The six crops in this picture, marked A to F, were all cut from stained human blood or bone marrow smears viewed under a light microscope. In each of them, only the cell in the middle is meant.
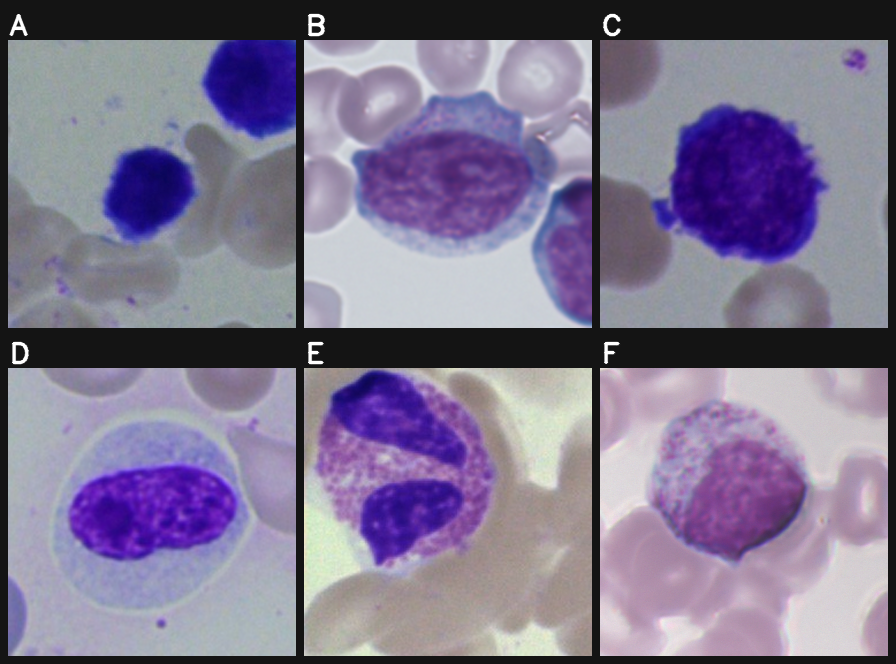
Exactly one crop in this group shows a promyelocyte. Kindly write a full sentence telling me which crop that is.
Crop B shows a promyelocyte, and no other crop does.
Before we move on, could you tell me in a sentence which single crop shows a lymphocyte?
Crop A is identified as the crop showing a lymphocyte.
